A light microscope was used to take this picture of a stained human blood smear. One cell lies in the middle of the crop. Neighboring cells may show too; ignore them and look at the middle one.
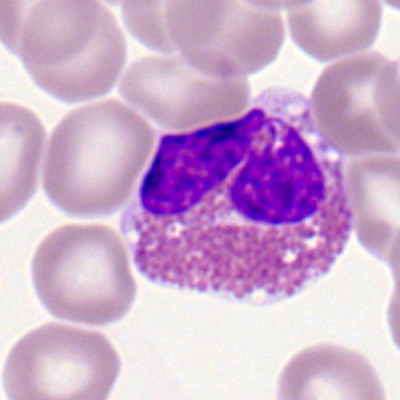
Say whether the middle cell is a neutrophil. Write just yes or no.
no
